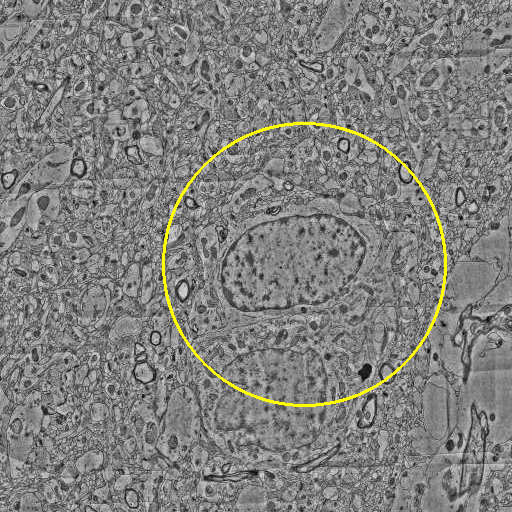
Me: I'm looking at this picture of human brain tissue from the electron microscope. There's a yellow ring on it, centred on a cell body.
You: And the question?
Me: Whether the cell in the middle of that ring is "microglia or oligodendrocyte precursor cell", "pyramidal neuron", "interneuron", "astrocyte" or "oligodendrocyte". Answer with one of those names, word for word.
microglia or oligodendrocyte precursor cell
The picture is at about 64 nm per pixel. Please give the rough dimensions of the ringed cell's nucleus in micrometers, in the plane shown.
The nucleus of the ringed cell is clearly longer than it is wide in this plane, about 9 by 6 micrometres.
